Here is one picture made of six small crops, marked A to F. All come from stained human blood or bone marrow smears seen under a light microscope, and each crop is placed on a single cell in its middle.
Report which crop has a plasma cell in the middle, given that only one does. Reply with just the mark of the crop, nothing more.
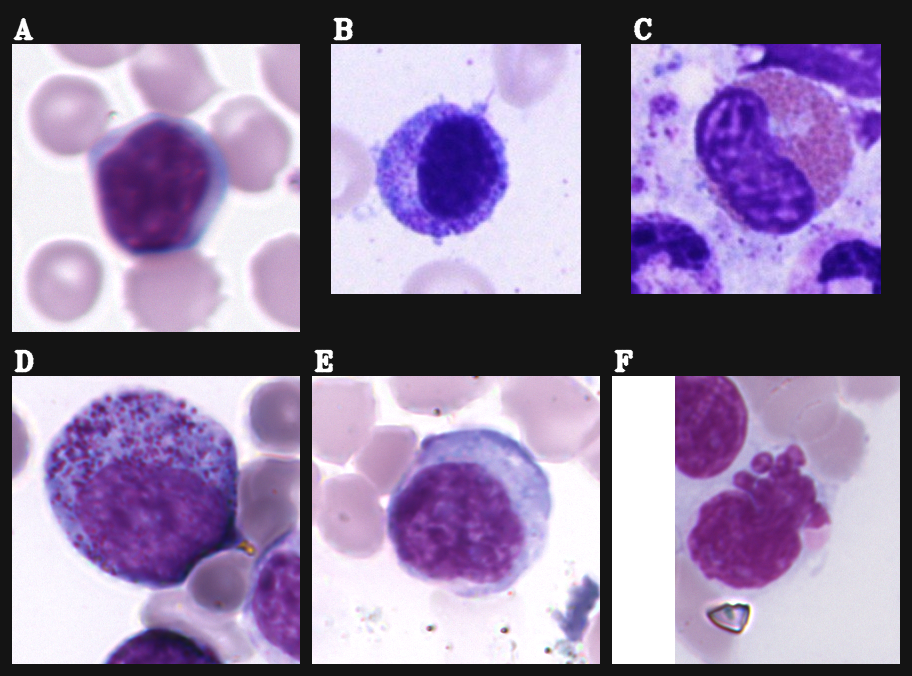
E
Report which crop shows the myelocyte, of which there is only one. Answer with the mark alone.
B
